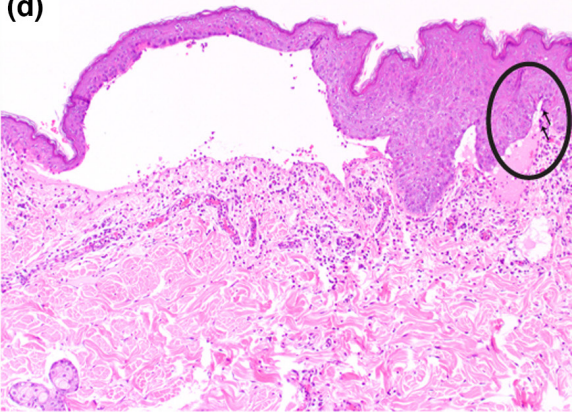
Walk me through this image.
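This section of skin shows a broad blister in which the epidermis has separated from the underlying dermis, leaving a wide empty cleft. The roof of the blister is a thin, purple-stained band of epidermis, while the floor is made of pink dermal collagen with scattered cells. To the right, the epidermis is still attached and thicker, with a downgrowth pushing into the dermis. At the margin of the cleft, small cells line the base of the split.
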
